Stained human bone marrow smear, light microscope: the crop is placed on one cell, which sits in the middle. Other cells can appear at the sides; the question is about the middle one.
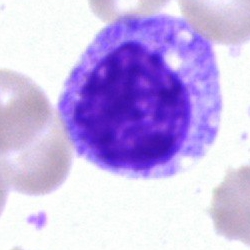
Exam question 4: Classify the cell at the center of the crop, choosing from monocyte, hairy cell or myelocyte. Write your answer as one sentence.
The central cell, amid any neighbouring cells, is a myelocyte.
